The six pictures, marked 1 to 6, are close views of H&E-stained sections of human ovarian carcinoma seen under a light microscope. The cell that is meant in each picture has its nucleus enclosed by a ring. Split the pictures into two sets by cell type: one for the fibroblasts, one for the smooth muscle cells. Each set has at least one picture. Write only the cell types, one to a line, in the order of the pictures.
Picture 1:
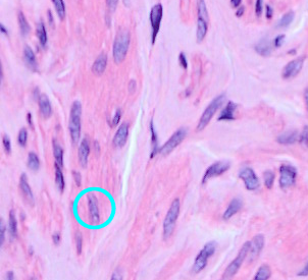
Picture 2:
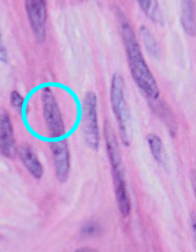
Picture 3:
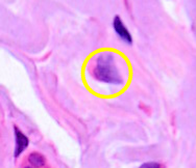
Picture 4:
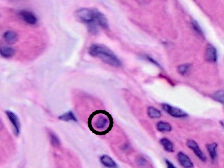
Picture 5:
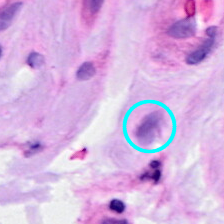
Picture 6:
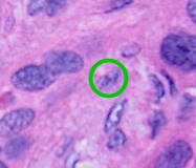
smooth muscle cell
smooth muscle cell
fibroblast
smooth muscle cell
fibroblast
fibroblast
